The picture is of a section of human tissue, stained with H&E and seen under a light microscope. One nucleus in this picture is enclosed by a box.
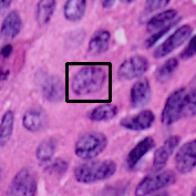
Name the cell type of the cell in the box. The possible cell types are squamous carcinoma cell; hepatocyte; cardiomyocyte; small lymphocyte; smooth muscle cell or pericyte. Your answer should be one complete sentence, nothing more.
With respect to cell type, the cell in the box is a squamous carcinoma cell.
